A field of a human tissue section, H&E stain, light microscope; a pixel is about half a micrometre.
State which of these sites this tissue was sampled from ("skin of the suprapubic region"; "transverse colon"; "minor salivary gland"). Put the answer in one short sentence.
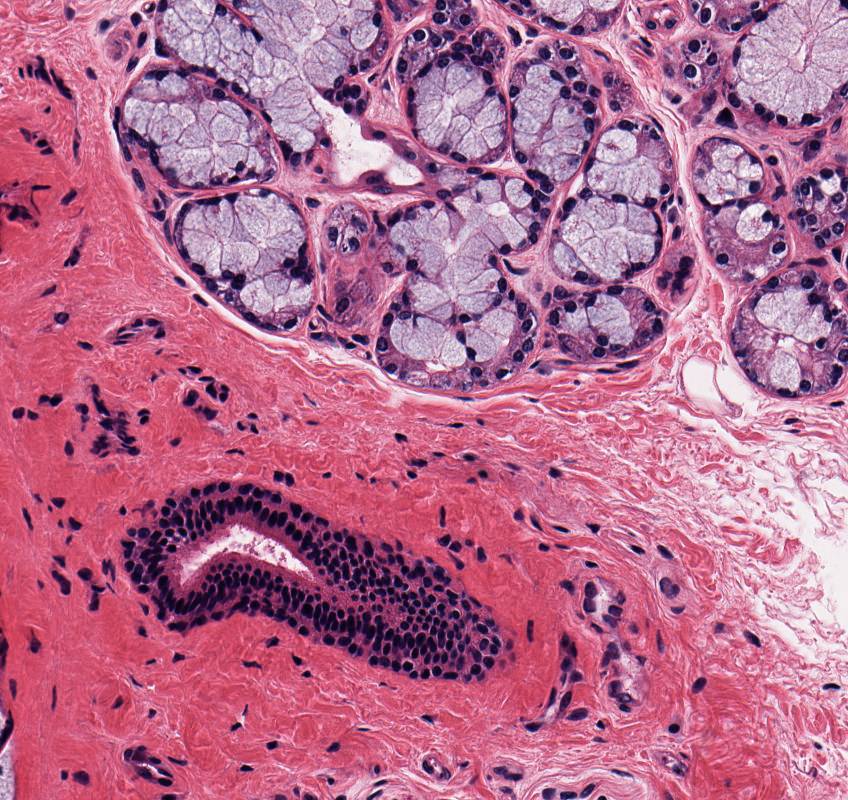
The site this tissue was sampled from is the minor salivary gland.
